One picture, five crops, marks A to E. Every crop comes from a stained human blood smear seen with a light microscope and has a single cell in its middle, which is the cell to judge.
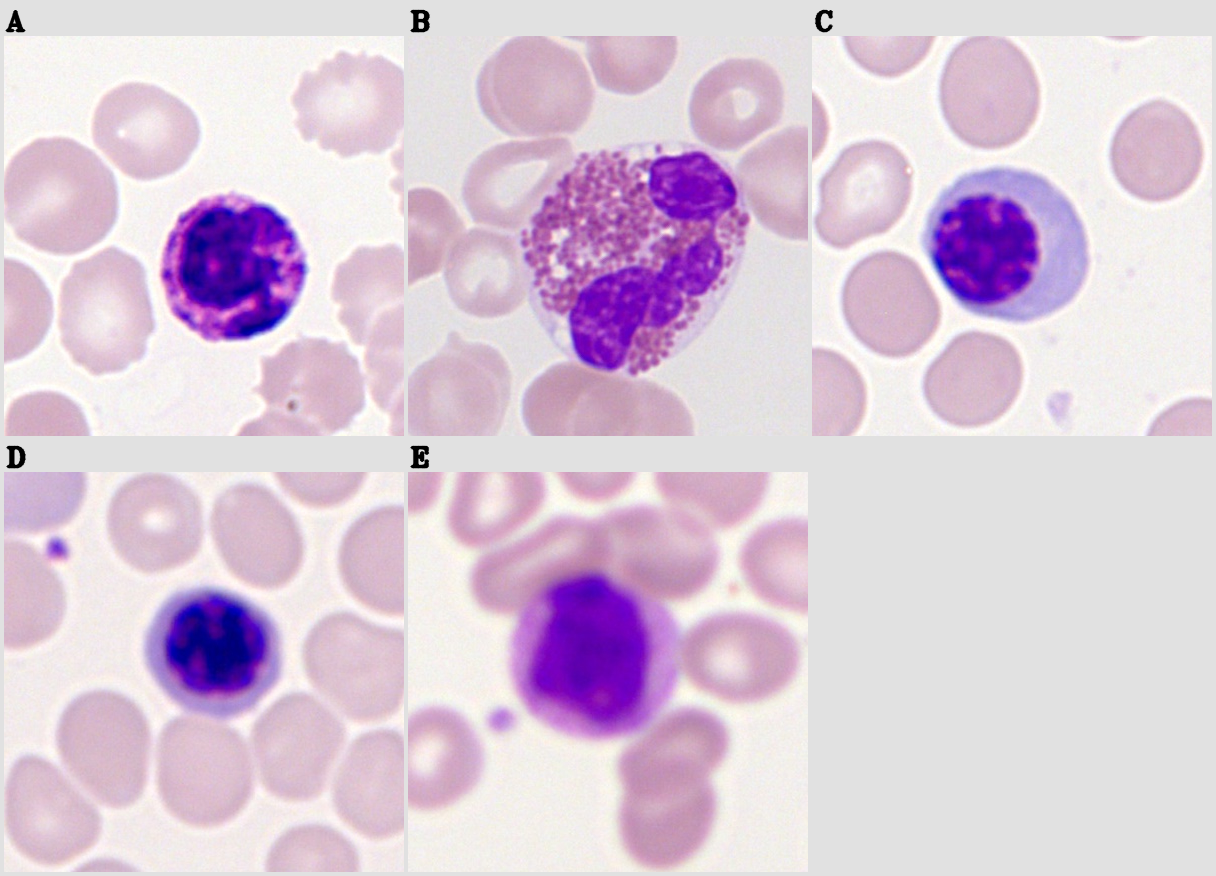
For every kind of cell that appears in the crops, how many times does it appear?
basophil: 2
erythroblast: 2
eosinophil: 1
